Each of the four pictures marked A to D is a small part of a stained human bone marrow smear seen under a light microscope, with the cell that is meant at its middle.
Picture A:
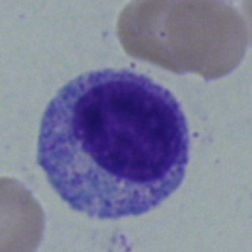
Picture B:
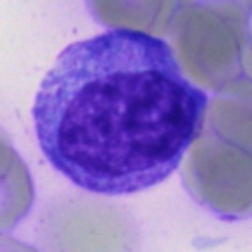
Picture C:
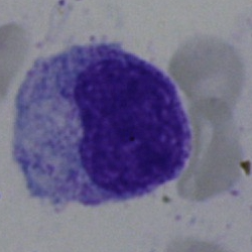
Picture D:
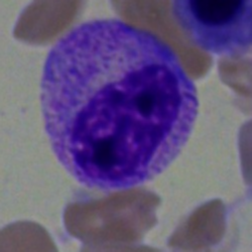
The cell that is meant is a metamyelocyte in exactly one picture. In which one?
D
